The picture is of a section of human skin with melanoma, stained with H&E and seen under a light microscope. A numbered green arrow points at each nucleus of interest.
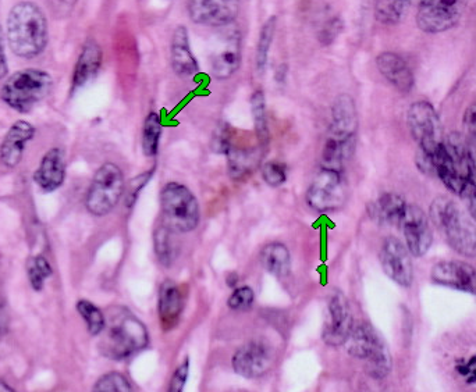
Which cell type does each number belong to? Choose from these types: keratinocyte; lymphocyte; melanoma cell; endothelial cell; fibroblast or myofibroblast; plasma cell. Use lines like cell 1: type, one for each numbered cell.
cell 1: melanoma cell
cell 2: lymphocyte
